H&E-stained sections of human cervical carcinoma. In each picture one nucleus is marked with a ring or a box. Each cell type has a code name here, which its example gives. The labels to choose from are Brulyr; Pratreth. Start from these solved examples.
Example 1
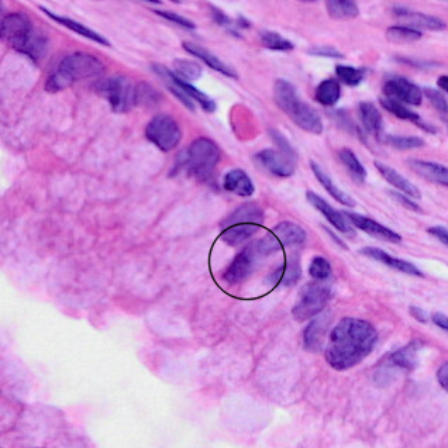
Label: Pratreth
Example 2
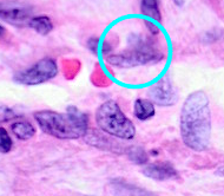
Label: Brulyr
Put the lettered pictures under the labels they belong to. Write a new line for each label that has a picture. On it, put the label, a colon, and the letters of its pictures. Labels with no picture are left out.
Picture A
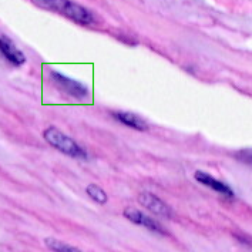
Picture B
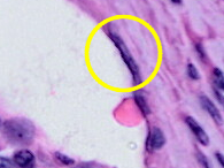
Brulyr: A, B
